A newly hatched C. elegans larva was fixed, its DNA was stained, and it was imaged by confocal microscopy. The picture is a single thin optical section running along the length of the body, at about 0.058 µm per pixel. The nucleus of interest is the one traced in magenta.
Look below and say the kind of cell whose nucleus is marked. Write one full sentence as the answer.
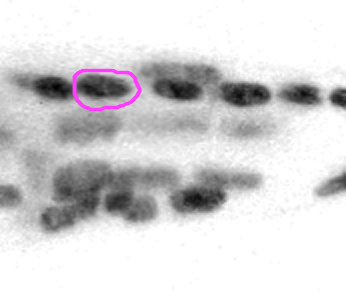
The cell with the marked nucleus is a glial cell (sheath or socket).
